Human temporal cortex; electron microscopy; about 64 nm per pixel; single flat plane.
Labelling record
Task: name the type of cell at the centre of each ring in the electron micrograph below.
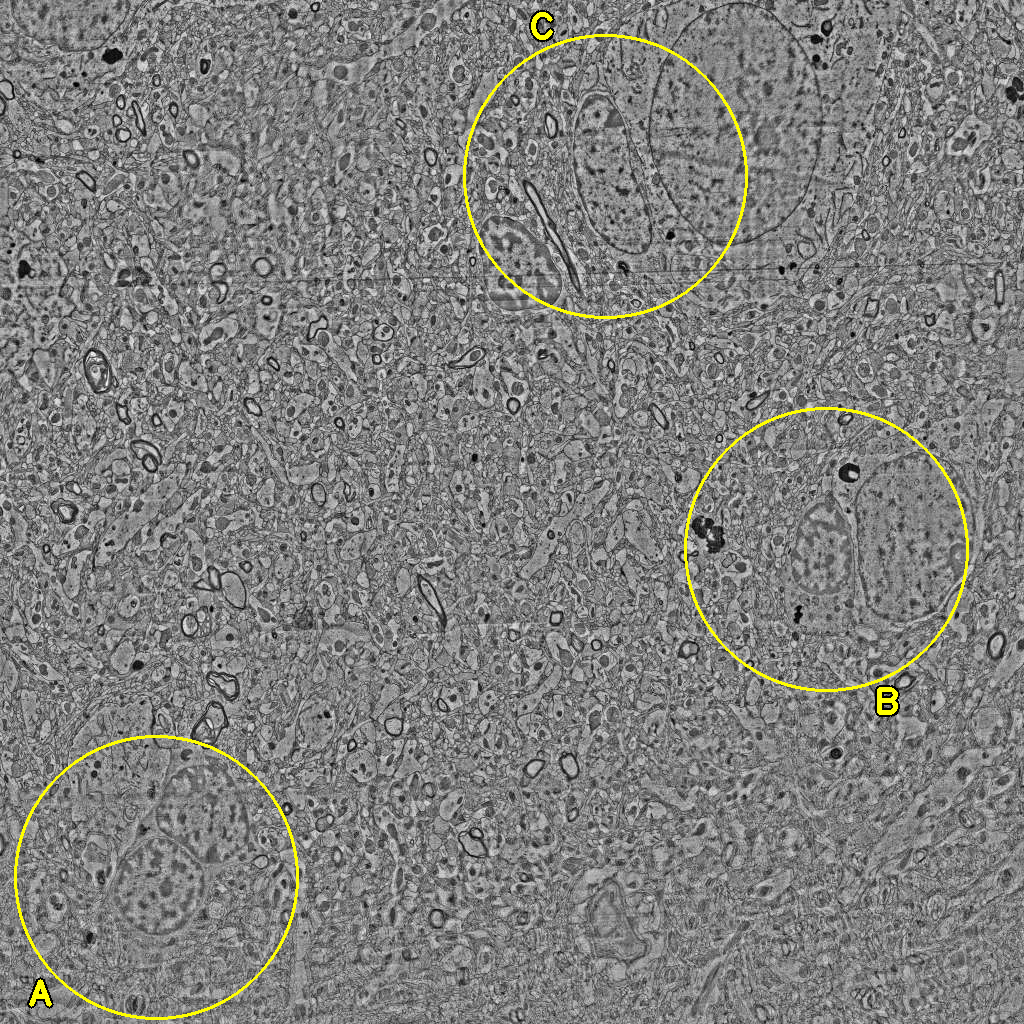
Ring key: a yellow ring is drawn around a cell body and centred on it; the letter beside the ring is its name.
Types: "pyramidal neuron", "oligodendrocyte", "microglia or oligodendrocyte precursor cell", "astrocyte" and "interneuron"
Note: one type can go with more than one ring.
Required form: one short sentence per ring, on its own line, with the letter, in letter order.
In ring A, the centred cell is an oligodendrocyte.
In ring B, the centred cell is an oligodendrocyte.
In ring C, the centred cell is a microglial cell or oligodendrocyte precursor cell.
